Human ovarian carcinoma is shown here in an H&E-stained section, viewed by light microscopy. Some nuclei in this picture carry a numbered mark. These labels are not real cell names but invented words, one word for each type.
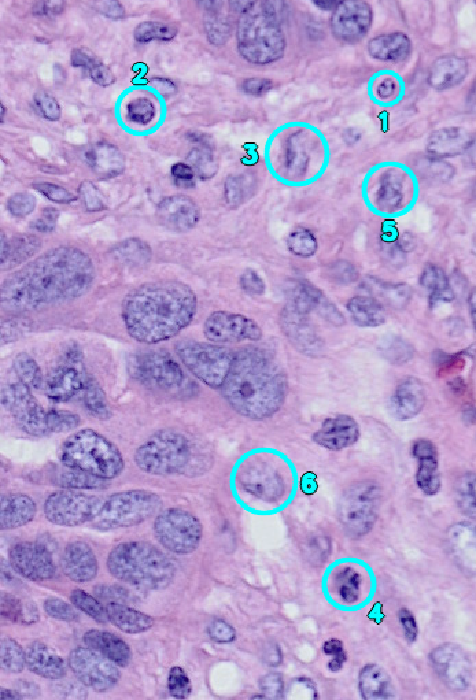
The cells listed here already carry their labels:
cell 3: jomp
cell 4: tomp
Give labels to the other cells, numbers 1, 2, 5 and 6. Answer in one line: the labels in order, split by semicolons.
tomp; tomp; jomp; jomp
